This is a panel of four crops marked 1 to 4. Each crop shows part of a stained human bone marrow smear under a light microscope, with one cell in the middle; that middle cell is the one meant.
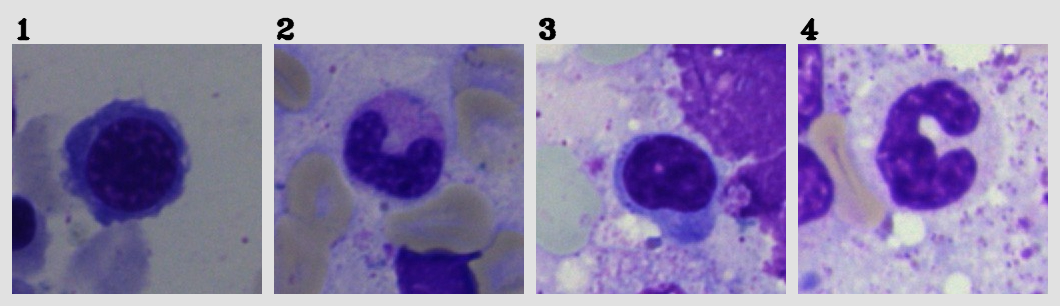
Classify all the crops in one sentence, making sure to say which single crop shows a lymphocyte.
In crop 3 there is a lymphocyte, while crop 1 is an erythroblast, crop 2 is a band neutrophil and crop 4 is a segmented neutrophil.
